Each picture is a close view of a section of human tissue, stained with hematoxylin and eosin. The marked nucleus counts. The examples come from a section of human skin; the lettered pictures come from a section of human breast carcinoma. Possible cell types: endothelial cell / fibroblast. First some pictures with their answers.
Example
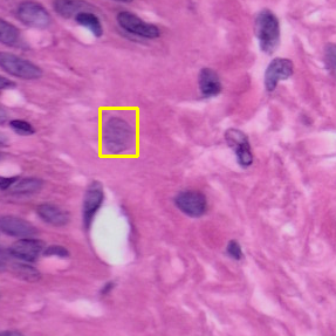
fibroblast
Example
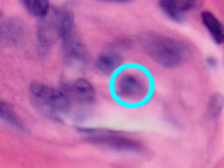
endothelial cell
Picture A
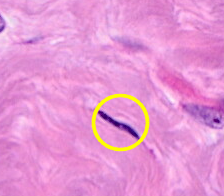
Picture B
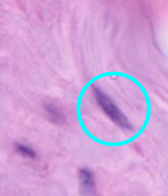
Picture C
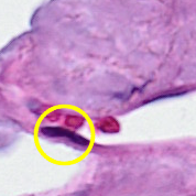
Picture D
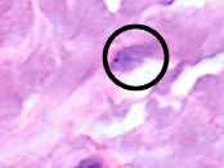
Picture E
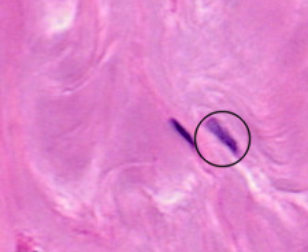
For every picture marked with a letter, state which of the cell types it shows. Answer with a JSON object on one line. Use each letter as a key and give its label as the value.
{"A": "fibroblast", "B": "fibroblast", "C": "endothelial cell", "D": "fibroblast", "E": "fibroblast"}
